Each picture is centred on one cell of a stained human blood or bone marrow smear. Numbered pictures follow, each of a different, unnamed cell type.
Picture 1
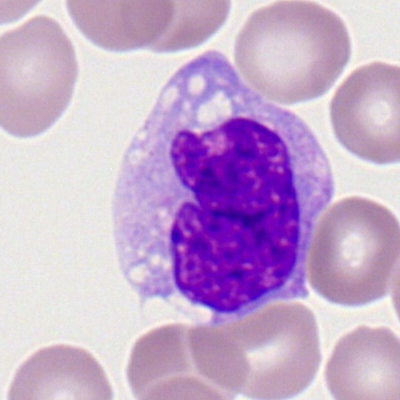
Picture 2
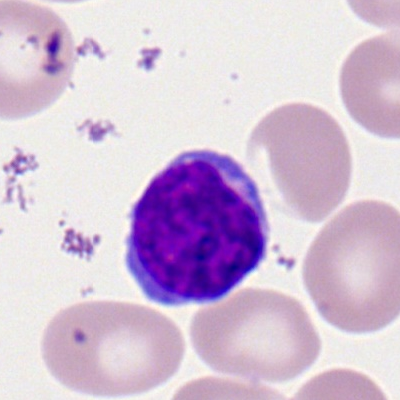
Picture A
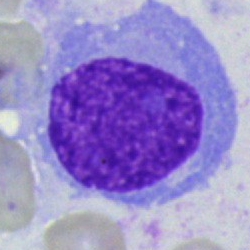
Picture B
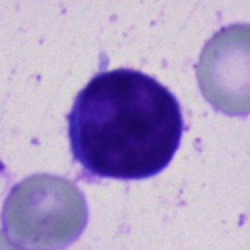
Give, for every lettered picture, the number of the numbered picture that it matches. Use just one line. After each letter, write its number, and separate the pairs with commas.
A 1, B 2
